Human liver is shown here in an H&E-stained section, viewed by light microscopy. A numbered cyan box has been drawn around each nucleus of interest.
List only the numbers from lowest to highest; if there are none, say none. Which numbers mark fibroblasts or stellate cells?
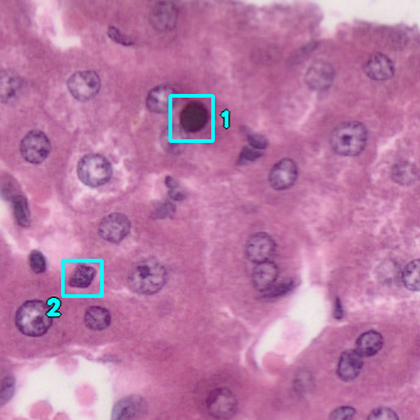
2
